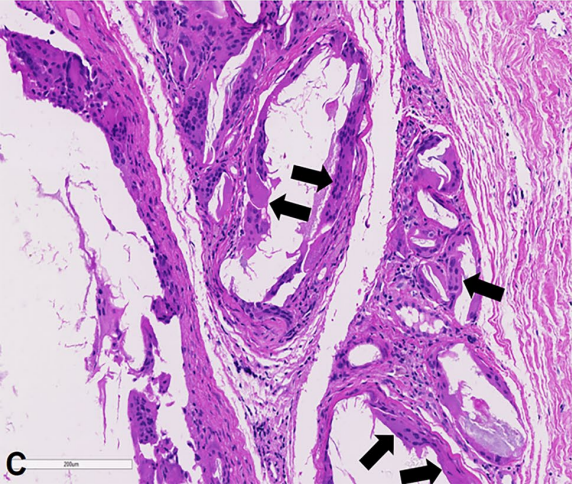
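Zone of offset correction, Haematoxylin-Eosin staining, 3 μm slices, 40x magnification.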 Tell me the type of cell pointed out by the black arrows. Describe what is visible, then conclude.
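The arrows point to large cells with several nuclei each. These cells line the edges of pale empty spaces. Their cytoplasm is pink. On this evidence: polynuclear giant cells.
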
